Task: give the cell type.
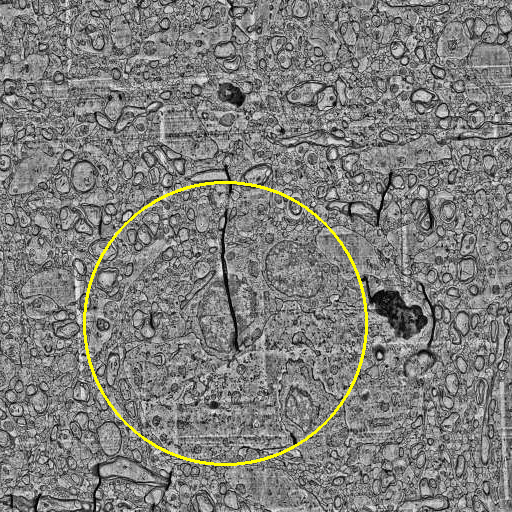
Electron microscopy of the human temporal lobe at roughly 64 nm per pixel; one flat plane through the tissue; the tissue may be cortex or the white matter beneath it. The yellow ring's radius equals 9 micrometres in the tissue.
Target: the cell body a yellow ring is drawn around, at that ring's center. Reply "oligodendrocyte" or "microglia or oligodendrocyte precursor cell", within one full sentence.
In this picture, the cell whose body lies at the ring's center is an oligodendrocyte.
